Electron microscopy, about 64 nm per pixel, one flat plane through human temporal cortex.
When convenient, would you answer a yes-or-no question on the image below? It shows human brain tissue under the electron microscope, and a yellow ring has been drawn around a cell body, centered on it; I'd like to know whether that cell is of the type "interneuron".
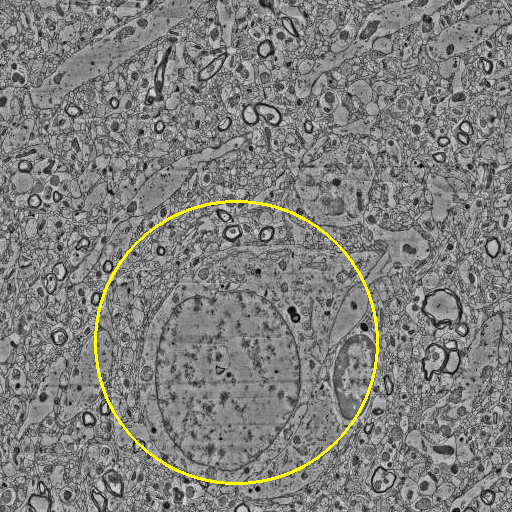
no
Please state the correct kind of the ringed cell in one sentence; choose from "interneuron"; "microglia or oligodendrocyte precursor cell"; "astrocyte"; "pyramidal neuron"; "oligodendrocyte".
The cell circled by the yellow ring is a pyramidal neuron.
